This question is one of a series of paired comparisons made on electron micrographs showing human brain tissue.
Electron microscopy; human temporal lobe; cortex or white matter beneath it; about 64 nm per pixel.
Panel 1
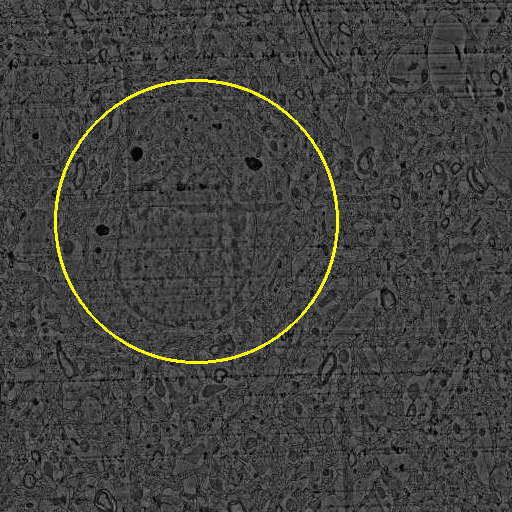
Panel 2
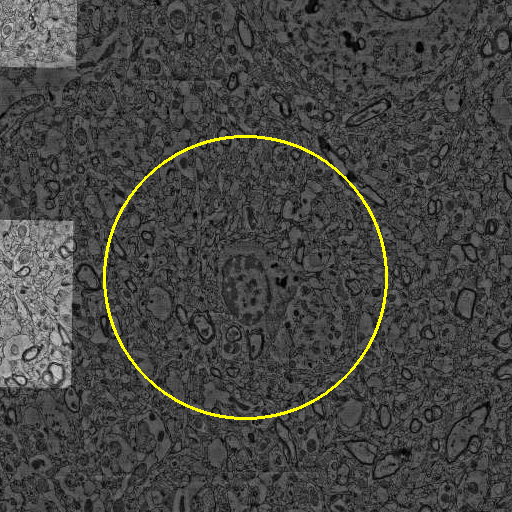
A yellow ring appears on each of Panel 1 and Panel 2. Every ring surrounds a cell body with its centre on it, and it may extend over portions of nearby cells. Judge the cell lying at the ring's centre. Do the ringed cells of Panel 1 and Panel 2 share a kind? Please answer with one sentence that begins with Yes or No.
No, the ring-centre cell in Panel 1 and the one in Panel 2 are of two kinds.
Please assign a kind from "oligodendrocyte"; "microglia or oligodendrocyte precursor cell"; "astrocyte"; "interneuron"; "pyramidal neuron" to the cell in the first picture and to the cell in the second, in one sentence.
In the first picture we have an interneuron, and in the second, an oligodendrocyte.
